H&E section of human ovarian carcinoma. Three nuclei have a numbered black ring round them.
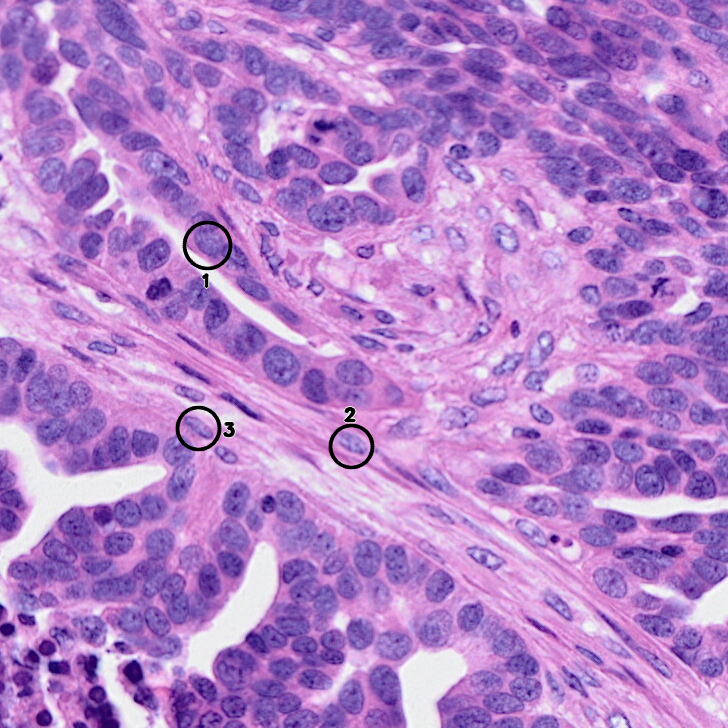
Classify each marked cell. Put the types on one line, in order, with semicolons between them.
carcinoma cell; fibroblast; fibroblast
